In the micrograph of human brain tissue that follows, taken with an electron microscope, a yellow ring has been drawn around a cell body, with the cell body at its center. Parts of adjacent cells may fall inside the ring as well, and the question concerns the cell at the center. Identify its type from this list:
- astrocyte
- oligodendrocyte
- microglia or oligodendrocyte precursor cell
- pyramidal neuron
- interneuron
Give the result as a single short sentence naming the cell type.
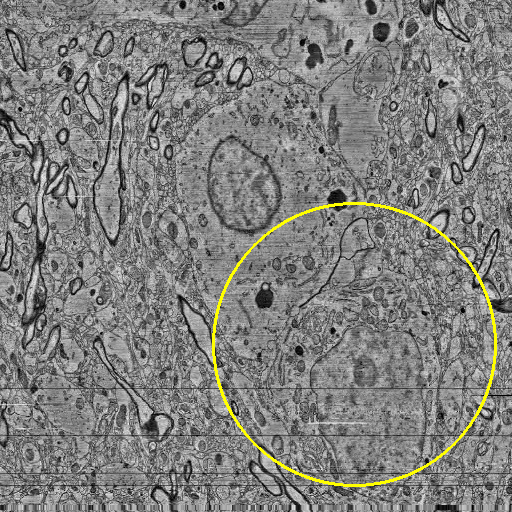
The ring is centered on an interneuron.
